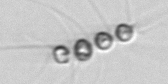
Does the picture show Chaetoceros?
Yes.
